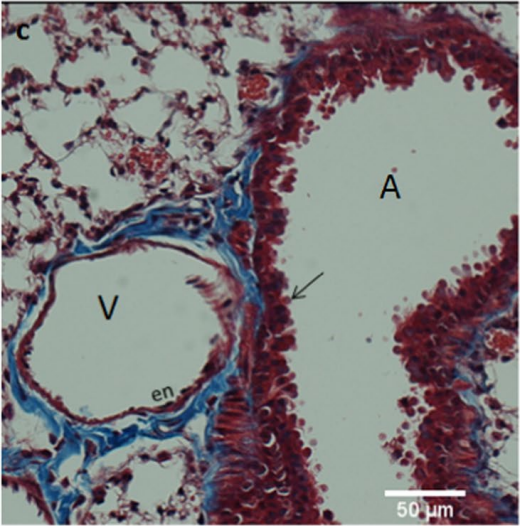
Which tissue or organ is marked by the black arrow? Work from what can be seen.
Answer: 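The arrow points to a thick layer of tall, closely packed cells lining a large lumen. The layer has crowded dark nuclei and red cytoplasm. So: epithelial structure of airways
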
